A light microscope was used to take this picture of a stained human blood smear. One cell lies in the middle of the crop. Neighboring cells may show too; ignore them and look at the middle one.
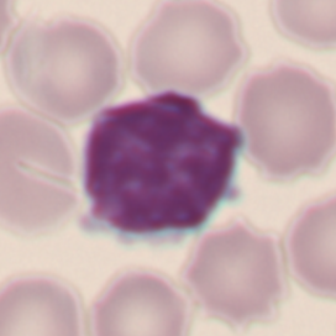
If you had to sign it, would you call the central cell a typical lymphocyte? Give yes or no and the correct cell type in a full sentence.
Yes, the cell sitting in the middle of this smear crop is a typical lymphocyte.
